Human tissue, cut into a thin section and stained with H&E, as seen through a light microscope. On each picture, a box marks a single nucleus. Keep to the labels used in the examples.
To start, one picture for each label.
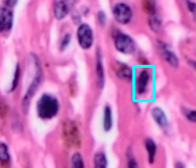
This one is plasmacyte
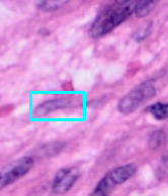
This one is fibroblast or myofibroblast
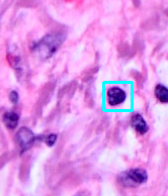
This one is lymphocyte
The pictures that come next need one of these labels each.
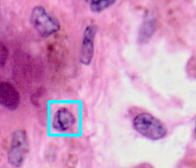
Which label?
lymphocyte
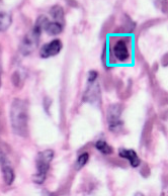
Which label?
plasmacyte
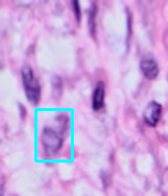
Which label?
fibroblast or myofibroblast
